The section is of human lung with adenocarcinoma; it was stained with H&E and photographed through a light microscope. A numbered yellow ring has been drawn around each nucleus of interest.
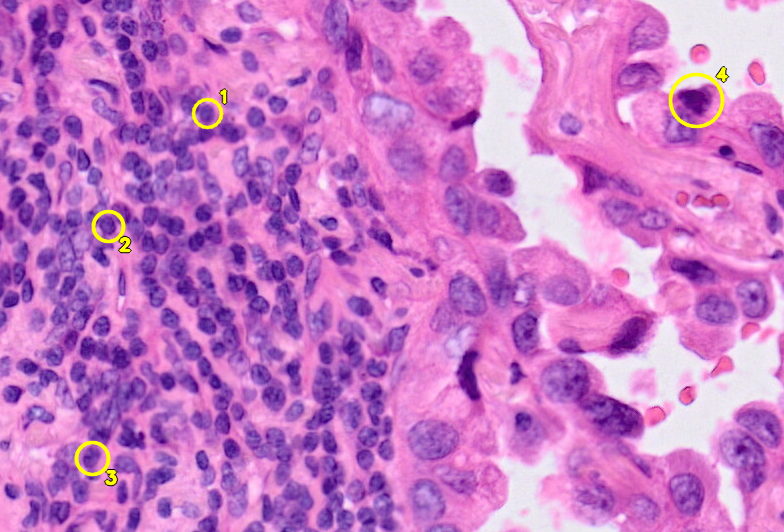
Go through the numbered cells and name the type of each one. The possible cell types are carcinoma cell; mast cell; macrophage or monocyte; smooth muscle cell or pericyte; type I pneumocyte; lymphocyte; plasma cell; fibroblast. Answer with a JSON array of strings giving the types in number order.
["lymphocyte", "lymphocyte", "lymphocyte", "carcinoma cell"]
